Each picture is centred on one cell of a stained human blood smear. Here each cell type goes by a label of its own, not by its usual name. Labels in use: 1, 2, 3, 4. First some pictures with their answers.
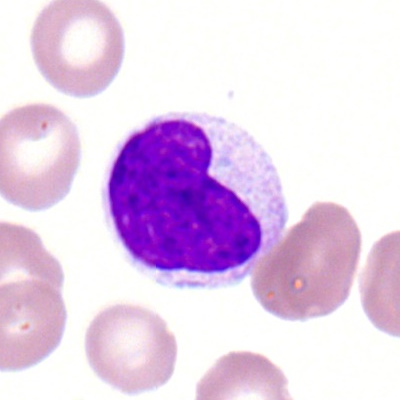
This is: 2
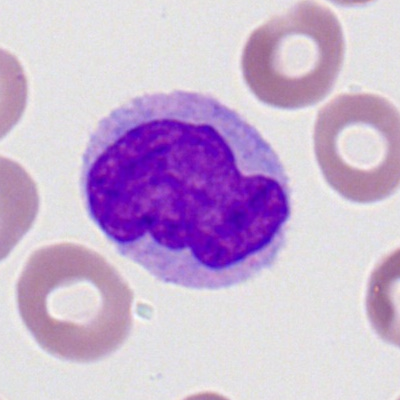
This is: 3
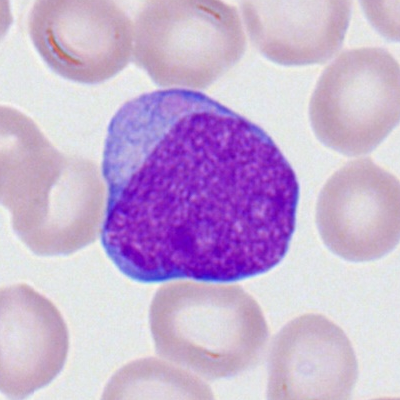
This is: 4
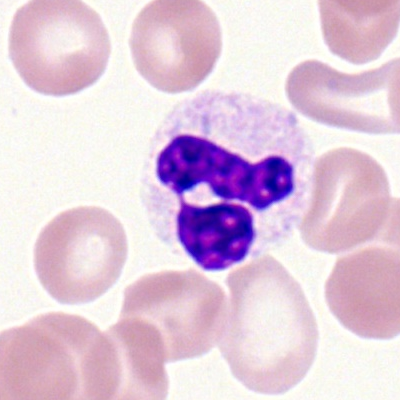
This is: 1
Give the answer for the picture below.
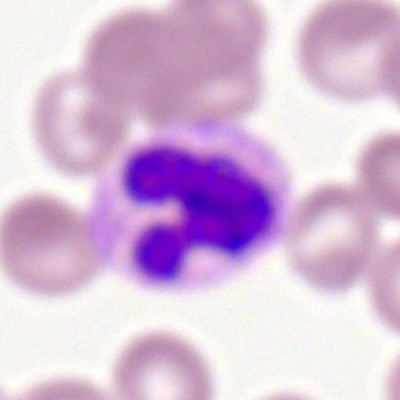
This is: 1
